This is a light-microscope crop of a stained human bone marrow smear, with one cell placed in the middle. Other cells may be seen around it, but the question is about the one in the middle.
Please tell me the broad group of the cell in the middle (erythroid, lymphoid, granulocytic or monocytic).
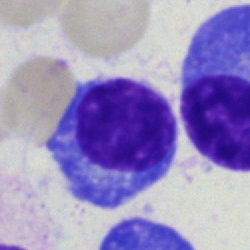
lymphoid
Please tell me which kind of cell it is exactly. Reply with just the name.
plasma cell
